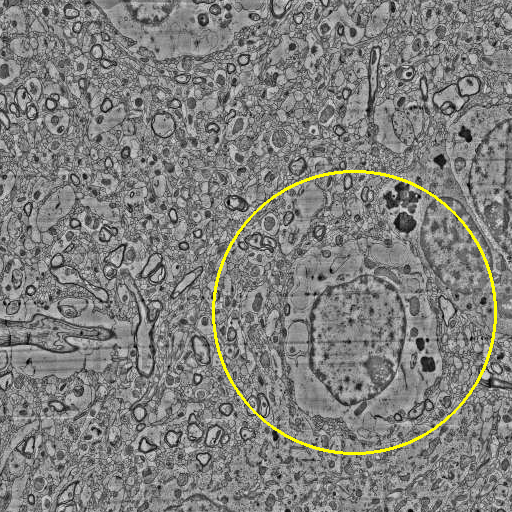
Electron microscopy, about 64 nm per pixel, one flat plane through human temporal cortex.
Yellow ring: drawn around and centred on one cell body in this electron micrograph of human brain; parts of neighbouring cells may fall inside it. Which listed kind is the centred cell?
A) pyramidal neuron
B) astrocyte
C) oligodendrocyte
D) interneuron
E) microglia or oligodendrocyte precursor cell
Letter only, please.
B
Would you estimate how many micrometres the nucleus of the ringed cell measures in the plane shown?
In this plane the nucleus measures roughly 8 by 6 micrometers.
